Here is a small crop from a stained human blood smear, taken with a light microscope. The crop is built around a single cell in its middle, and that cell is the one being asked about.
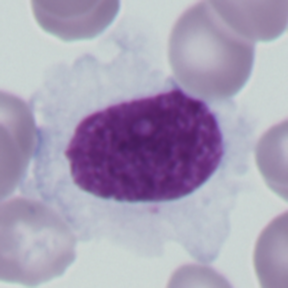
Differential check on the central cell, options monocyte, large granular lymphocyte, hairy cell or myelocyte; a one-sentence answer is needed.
Centred in the crop is a hairy cell.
